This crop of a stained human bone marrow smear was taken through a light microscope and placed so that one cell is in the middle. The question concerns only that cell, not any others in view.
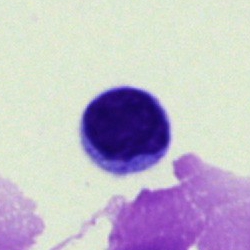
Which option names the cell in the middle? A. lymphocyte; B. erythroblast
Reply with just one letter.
A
